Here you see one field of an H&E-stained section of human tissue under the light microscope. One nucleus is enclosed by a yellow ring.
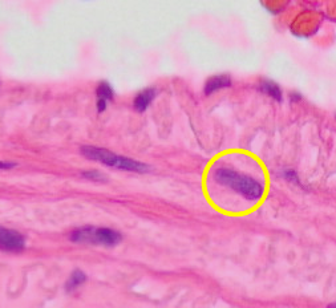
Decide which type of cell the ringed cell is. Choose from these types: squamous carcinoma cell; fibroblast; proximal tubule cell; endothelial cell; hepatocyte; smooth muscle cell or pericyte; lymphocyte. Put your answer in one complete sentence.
Labelled by cell type, the ringed cell is a smooth muscle cell or pericyte.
